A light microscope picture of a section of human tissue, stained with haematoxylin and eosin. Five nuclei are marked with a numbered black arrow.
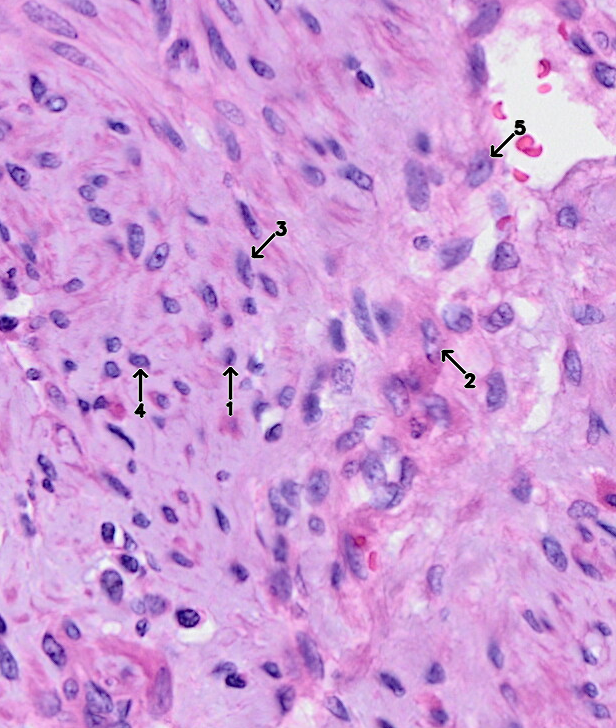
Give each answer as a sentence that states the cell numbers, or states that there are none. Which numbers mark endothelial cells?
Cells 2 and 5 are recognised here as endothelial cells.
